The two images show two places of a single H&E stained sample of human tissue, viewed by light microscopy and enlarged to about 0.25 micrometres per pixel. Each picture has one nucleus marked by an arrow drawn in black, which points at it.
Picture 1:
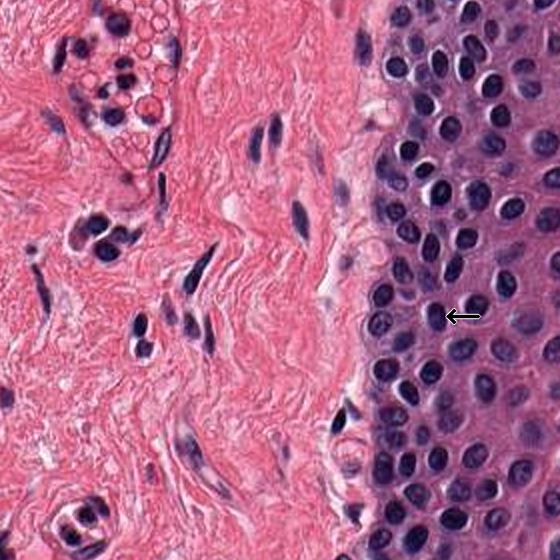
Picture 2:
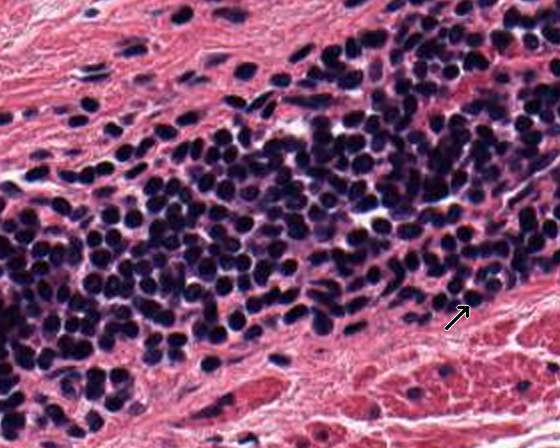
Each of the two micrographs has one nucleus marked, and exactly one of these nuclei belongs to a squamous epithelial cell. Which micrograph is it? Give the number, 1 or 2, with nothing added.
1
